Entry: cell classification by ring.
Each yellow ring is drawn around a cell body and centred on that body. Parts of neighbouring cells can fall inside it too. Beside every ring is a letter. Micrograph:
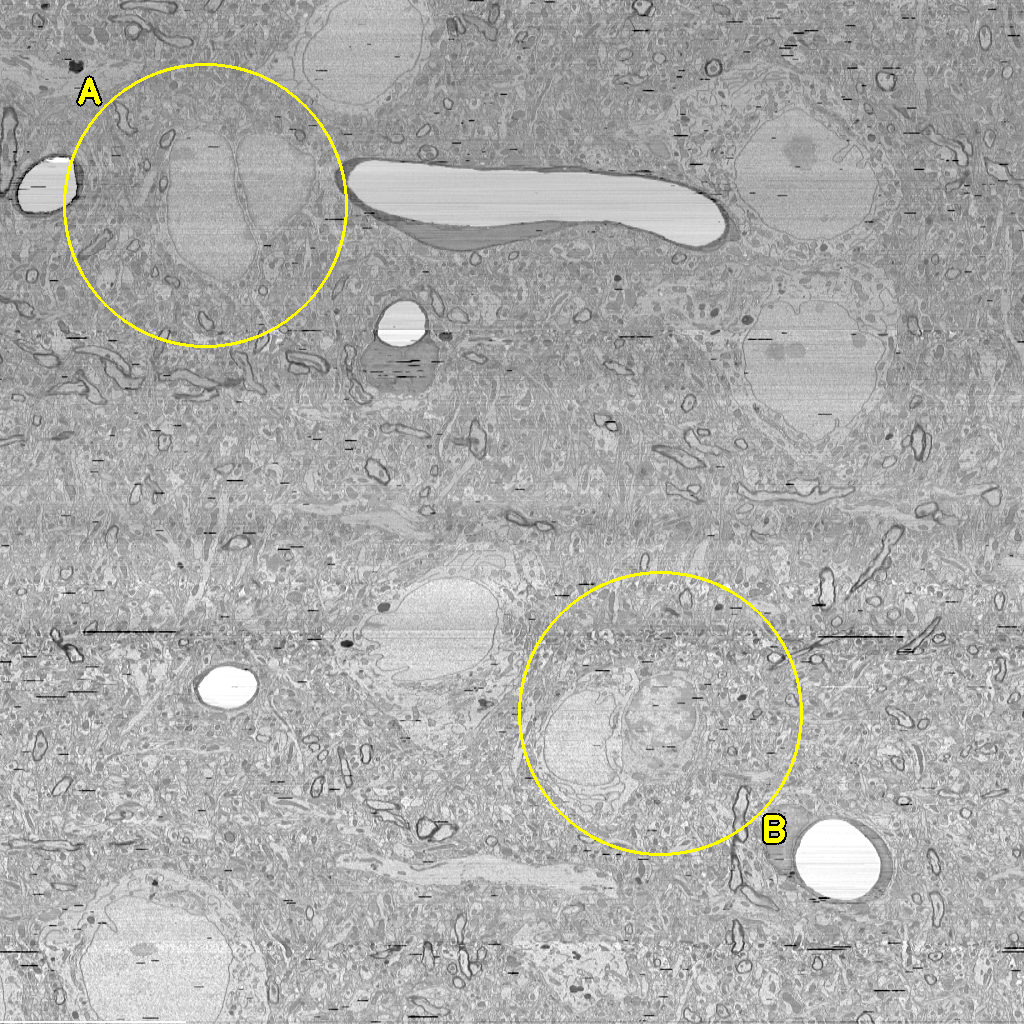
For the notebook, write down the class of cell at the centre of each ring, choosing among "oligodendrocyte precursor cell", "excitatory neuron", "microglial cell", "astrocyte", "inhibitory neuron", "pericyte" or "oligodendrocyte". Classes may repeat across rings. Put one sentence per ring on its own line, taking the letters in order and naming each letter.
Ring A marks an astrocyte.
Ring B marks an oligodendrocyte.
